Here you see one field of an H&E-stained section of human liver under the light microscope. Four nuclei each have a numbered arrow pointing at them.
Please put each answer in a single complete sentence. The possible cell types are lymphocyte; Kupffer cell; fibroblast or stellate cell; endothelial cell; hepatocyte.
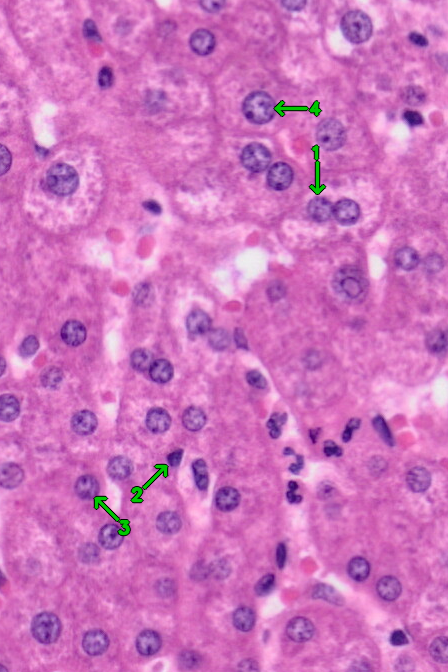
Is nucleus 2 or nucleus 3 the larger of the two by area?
Of the two, number 3 is bigger and takes up about 2 times the area of number 2.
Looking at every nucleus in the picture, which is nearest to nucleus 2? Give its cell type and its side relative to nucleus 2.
A Kupffer cell lies closest, below and to the right of nucleus 2.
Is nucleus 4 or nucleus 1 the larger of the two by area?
Number 4 is larger; its area is about 1.5 times that of number 1.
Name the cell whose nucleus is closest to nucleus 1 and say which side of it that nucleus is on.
The nearest nucleus is that of a hepatocyte and lies to the right of nucleus 1.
